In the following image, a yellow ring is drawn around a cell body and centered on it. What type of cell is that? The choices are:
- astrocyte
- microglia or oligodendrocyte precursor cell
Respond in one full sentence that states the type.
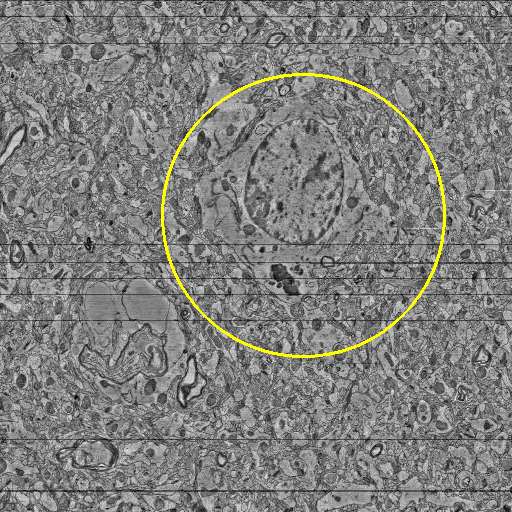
The cell at the center of the yellow ring in the image is an astrocyte.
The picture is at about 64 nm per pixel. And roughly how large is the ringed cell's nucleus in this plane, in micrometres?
The ringed cell's nucleus measures approximately 8 by 7 micrometres in this plane.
